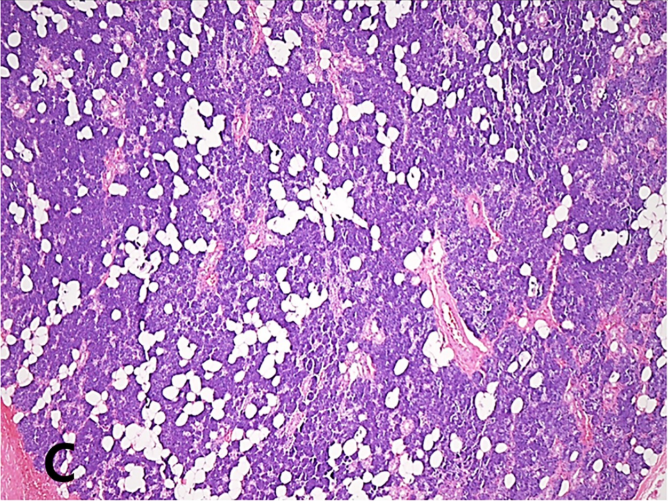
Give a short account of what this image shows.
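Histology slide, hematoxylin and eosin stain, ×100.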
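This is normal parotid gland parenchyma made up almost entirely of serous acini, seen as tightly packed clusters of cells with purple-staining cytoplasm and nuclei. Round, empty-looking fat vacuoles are scattered throughout the glandular tissue, and thin pink ducts and small vessels run between the acinar clusters. No collections of inflammatory cells are seen.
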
